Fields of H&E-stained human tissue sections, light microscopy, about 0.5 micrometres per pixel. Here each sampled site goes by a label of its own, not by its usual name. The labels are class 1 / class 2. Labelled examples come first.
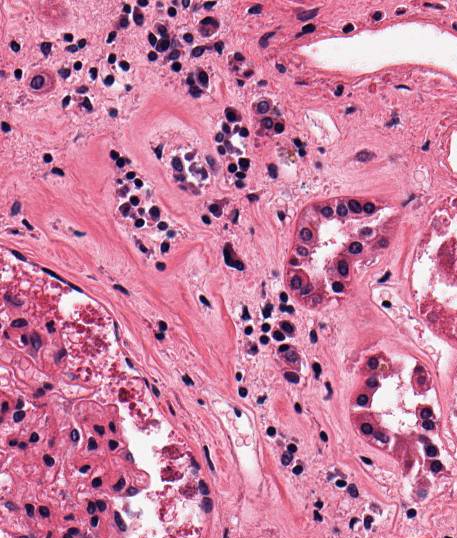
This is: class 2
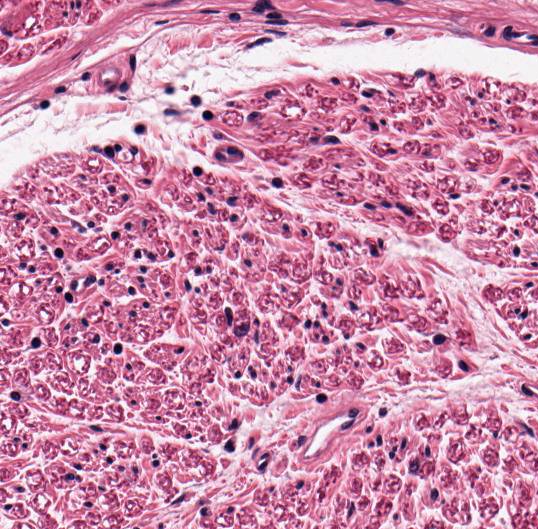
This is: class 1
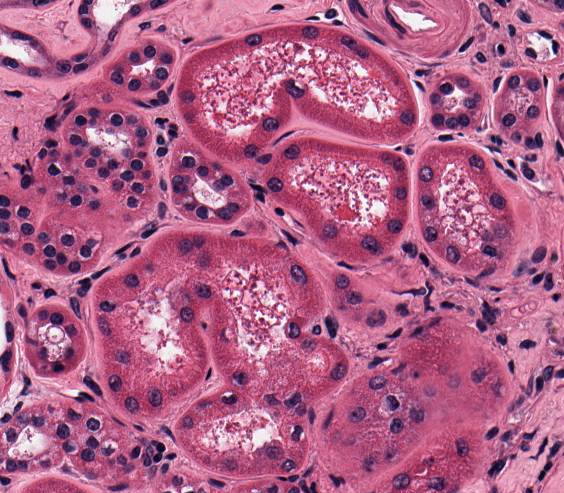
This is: class 2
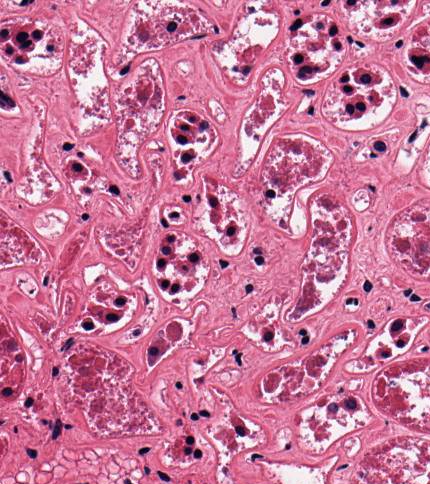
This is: class 2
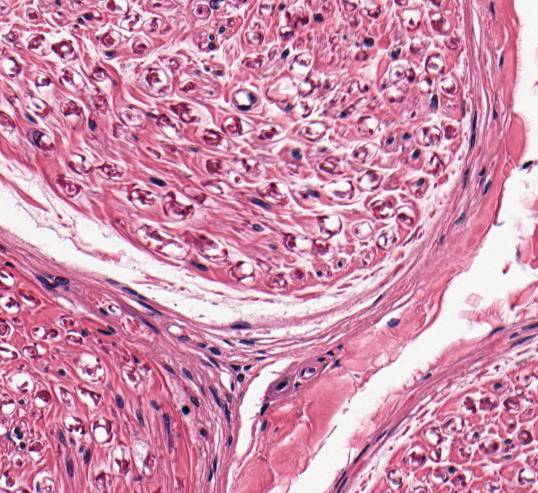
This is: class 1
